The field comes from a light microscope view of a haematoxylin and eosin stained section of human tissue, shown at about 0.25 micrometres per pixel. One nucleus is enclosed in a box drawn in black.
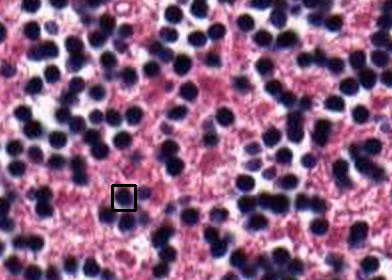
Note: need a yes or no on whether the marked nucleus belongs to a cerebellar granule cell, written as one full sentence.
Yes, the marked nucleus belongs to a cerebellar granule cell in this image.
